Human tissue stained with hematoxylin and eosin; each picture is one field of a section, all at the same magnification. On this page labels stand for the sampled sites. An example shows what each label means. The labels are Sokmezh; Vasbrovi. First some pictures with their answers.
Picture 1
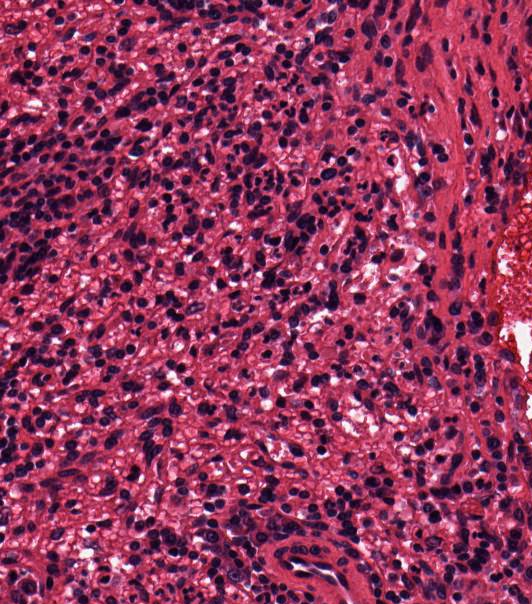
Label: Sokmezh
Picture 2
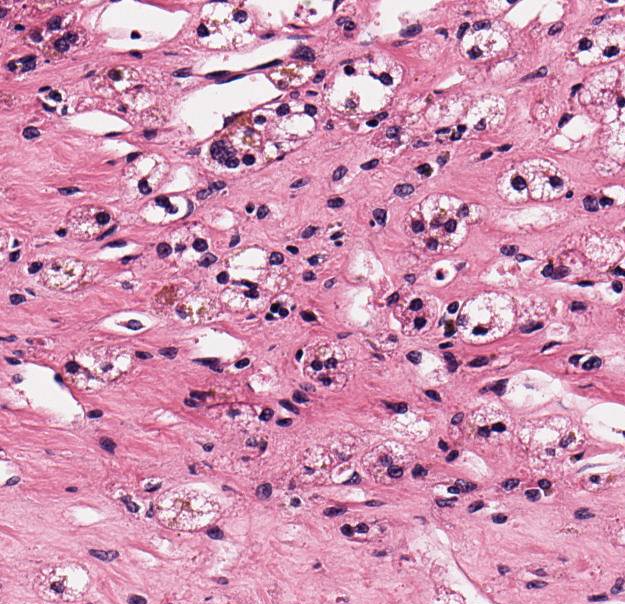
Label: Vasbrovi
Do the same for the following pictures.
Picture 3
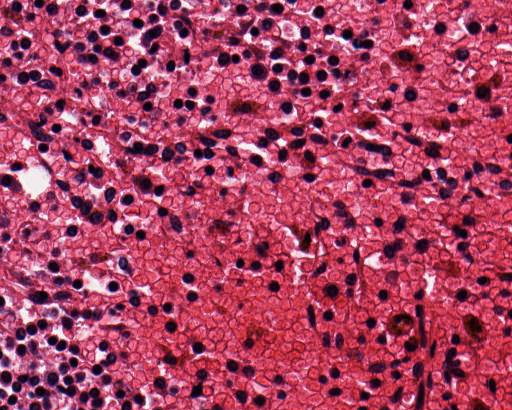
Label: Sokmezh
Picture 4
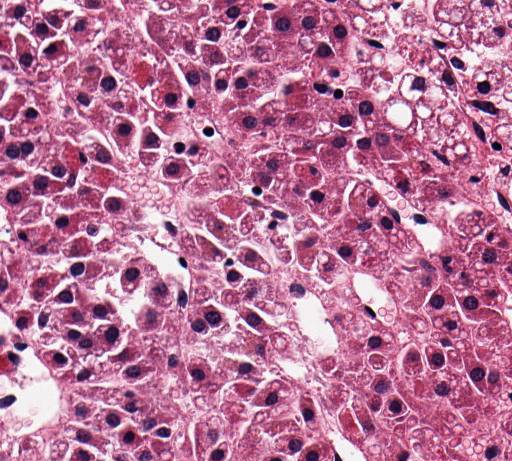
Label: Vasbrovi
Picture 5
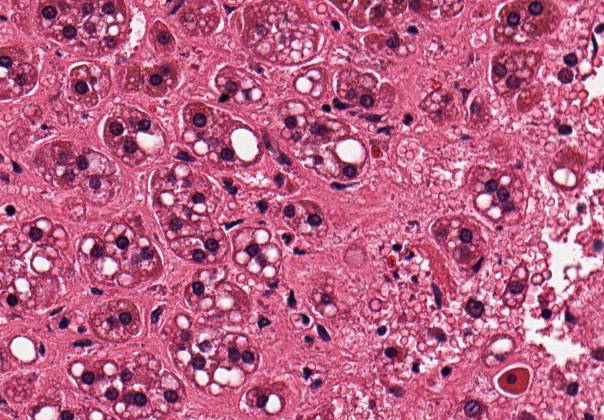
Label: Vasbrovi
